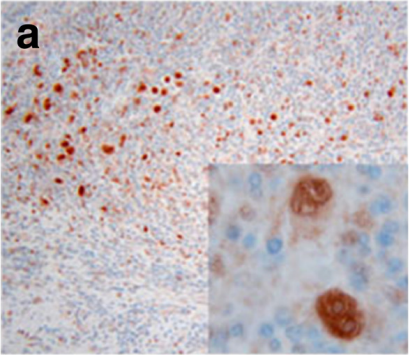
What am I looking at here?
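In the inset two large cells have big, rounded brown nuclei with visible nuclear outlines and a rim of brown cytoplasm. The surrounding smaller cells have blue nuclei and show only faint brownish staining in the background.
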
